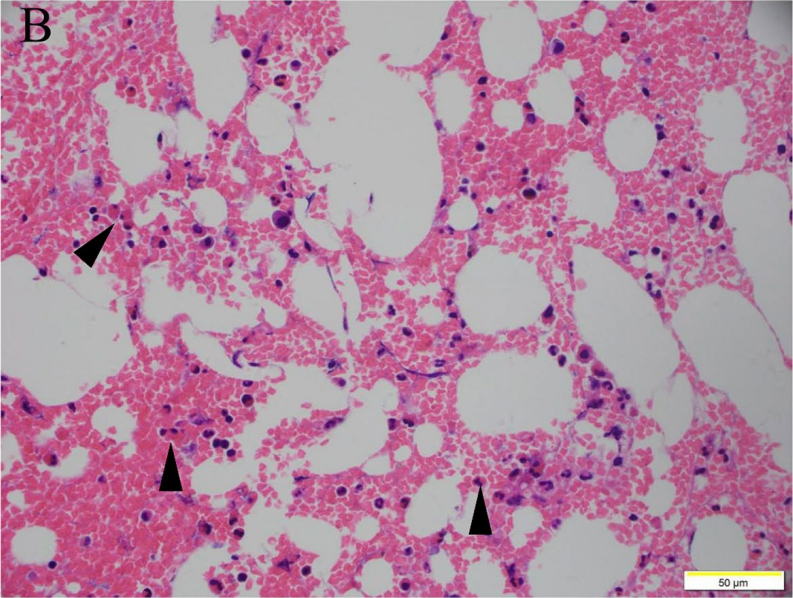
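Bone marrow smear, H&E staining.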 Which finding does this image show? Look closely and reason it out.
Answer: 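Increased red blood cells. Most of the field between fat vacuoles is filled with closely packed red cells. Nucleated cells are scattered singly or in small groups among them.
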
